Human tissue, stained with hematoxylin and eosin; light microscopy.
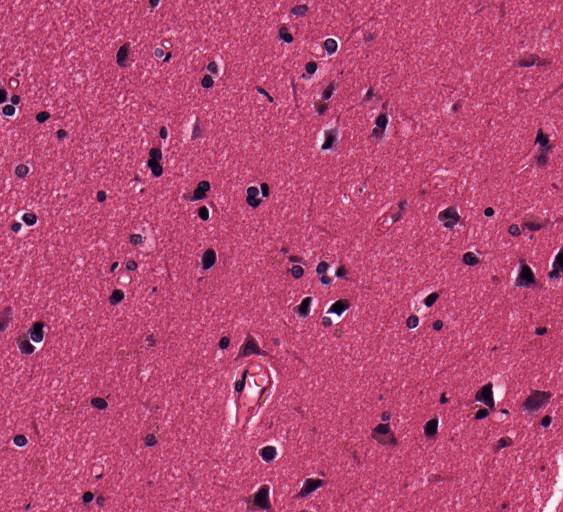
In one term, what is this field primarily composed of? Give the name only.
cerebral cortex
